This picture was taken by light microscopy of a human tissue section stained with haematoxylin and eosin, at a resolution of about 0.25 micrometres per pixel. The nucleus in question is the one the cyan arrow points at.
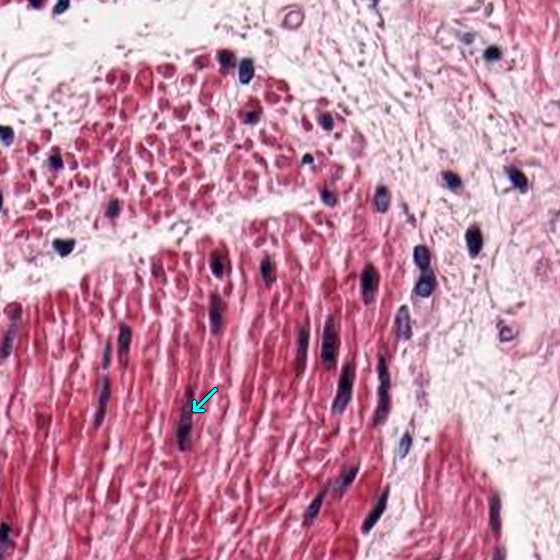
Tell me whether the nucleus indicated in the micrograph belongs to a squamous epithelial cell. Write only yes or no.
no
